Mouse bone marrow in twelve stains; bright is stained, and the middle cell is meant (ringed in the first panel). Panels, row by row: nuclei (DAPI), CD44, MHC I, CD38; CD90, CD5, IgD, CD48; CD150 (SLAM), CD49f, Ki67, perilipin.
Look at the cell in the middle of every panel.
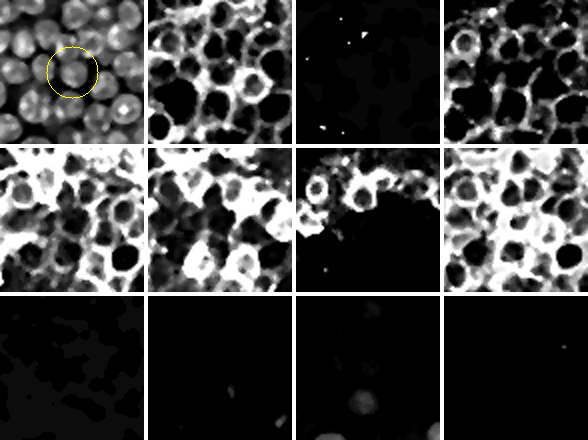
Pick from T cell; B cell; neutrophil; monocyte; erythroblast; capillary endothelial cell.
monocyte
